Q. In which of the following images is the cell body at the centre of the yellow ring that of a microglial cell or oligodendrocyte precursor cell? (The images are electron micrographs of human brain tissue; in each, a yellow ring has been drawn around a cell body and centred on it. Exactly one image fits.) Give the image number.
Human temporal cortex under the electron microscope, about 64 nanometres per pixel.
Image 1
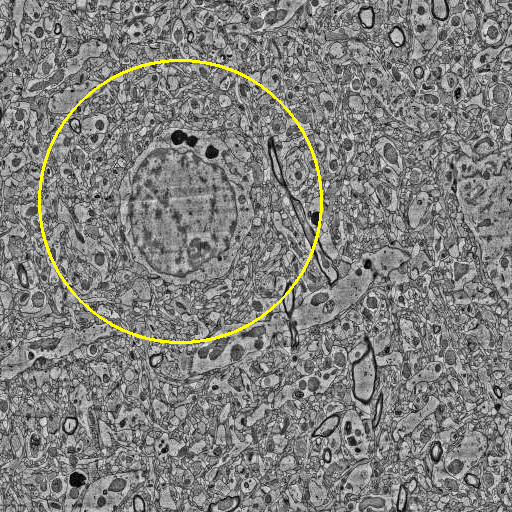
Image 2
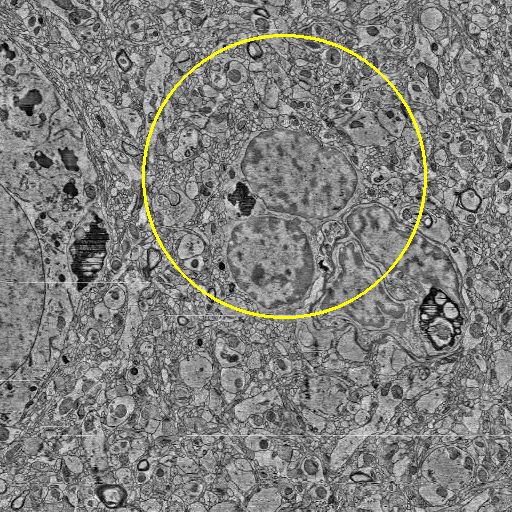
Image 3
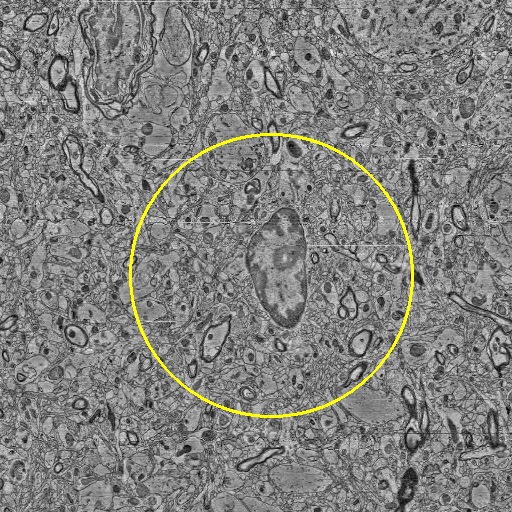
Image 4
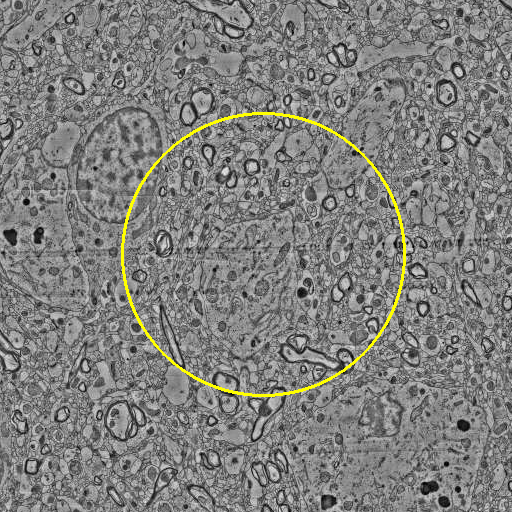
3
